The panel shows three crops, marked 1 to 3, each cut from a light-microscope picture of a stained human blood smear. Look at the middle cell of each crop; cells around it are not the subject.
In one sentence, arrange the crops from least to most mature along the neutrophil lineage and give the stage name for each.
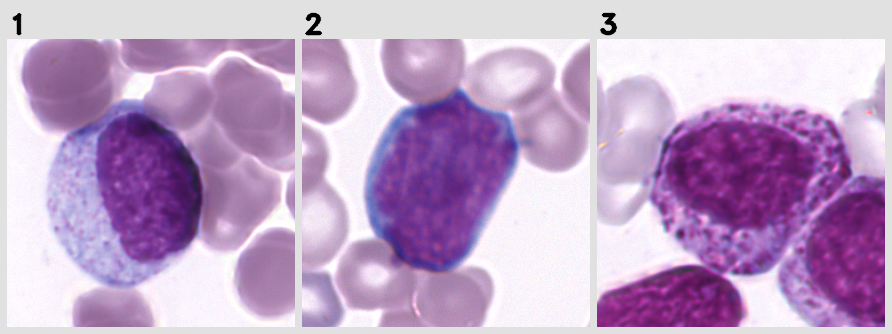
Ranked from least to most mature, the sequence is crop 2 (a myeloblast), crop 1 (a promyelocyte) and crop 3 (a myelocyte).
